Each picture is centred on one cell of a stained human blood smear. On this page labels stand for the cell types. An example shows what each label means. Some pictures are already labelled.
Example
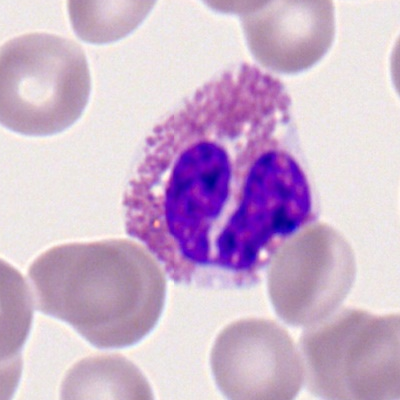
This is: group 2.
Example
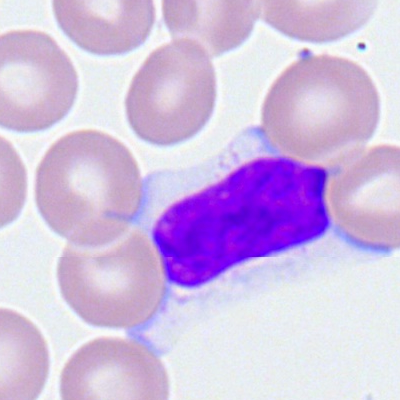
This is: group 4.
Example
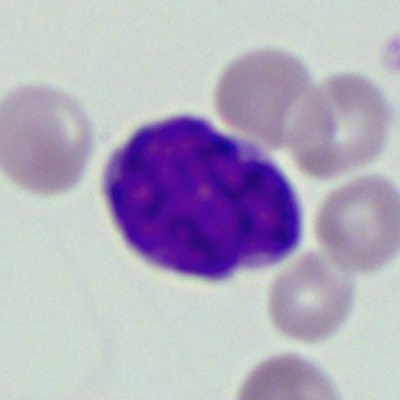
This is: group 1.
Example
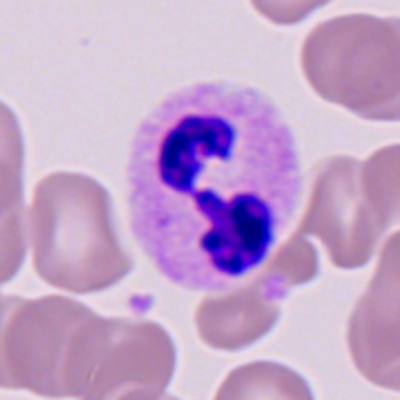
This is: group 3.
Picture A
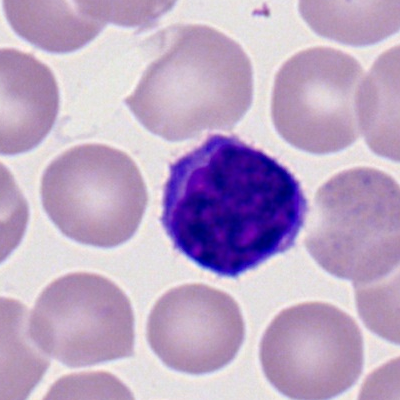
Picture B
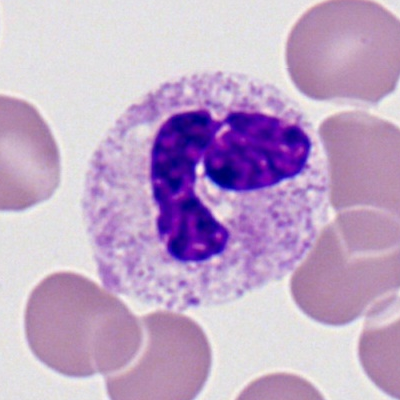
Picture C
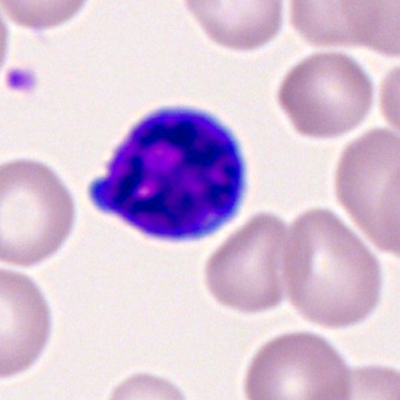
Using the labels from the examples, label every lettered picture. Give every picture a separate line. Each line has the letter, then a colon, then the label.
A: group 4.
B: group 3.
C: group 4.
